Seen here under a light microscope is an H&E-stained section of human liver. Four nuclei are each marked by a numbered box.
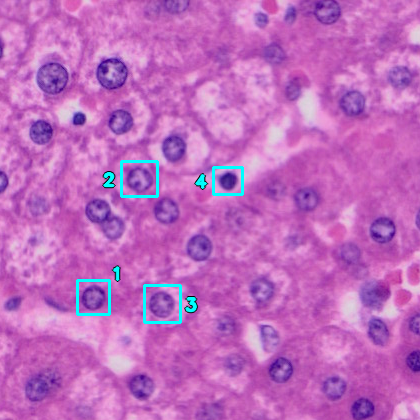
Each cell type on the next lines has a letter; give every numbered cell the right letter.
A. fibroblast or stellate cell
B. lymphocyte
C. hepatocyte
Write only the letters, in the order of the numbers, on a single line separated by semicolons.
C; C; C; B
